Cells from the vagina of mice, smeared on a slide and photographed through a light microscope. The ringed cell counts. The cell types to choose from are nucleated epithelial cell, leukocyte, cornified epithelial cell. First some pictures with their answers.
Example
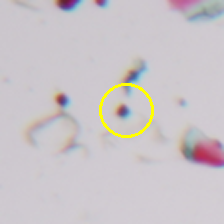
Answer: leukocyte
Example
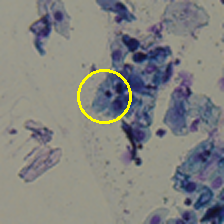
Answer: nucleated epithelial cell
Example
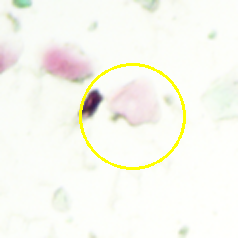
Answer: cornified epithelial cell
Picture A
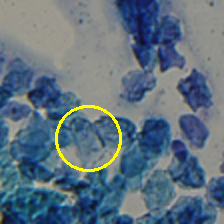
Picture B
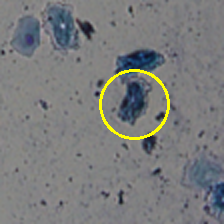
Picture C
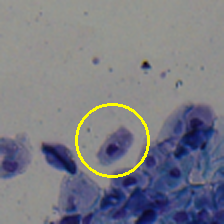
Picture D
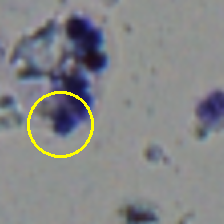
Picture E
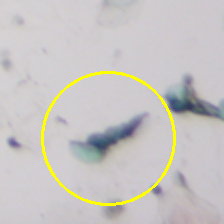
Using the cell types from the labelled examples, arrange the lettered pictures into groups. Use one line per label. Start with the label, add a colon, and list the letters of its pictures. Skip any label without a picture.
nucleated epithelial cell: C
leukocyte: D
cornified epithelial cell: A, B, E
